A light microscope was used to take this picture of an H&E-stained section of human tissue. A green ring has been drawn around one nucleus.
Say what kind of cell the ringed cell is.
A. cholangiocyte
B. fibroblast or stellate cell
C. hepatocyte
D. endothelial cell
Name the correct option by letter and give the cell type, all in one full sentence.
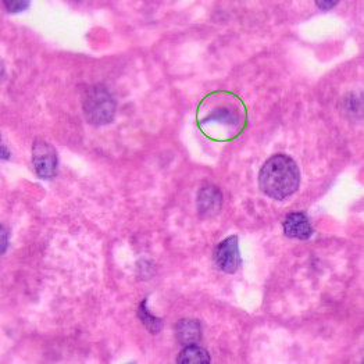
Option D names the ringed cell correctly as an endothelial cell.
